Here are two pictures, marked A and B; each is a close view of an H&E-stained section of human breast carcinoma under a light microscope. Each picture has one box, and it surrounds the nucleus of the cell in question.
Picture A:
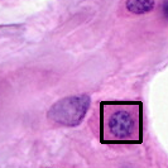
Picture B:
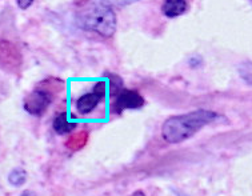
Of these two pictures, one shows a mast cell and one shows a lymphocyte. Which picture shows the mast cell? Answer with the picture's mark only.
A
